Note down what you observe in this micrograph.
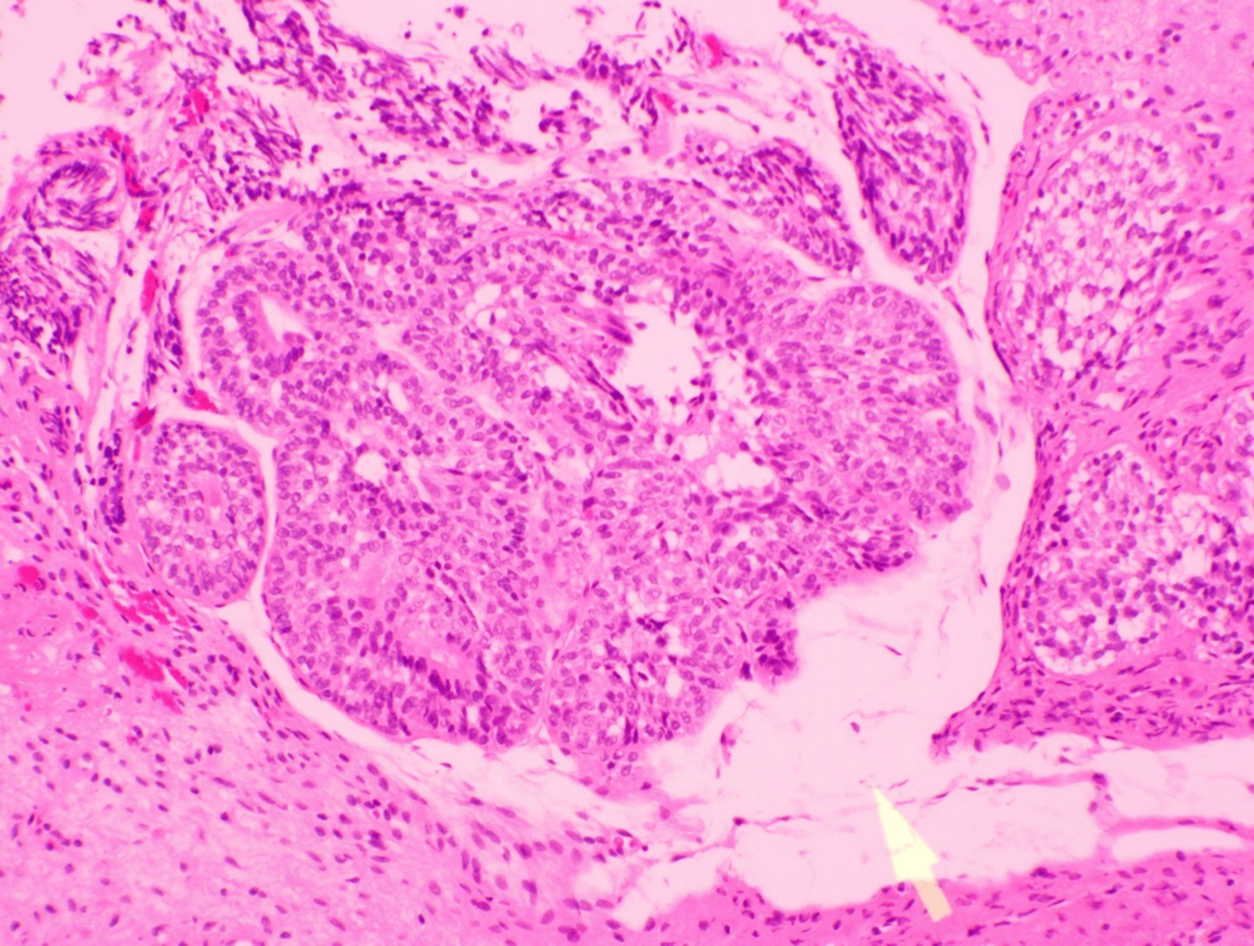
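The nuclei are oval, fairly uniform and pale purple, and the cells have pinkish to clear cytoplasm. Around the nests the stroma holds scattered spindle cells and small red blood vessels, without a dense, reactive fibrous response.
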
